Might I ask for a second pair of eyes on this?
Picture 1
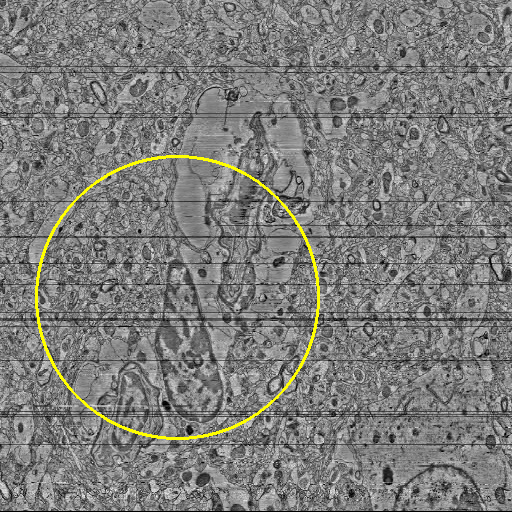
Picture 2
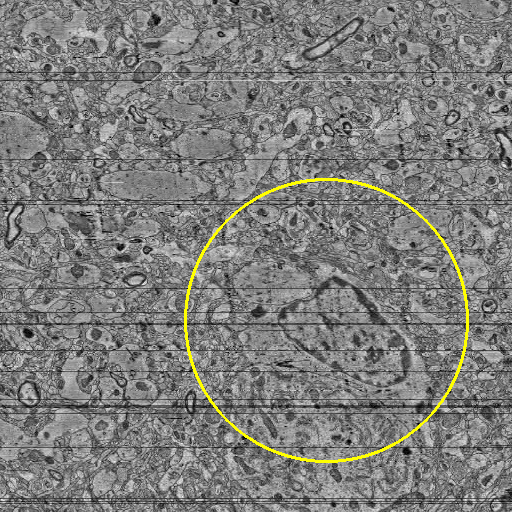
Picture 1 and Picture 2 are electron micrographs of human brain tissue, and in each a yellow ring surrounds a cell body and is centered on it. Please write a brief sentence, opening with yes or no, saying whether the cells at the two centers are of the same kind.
Yes, the cells are of the same kind.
